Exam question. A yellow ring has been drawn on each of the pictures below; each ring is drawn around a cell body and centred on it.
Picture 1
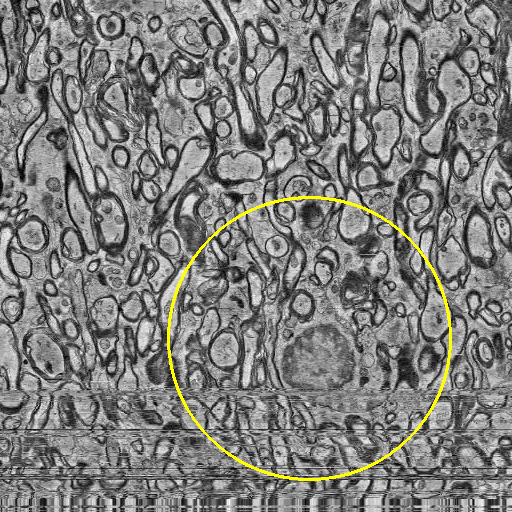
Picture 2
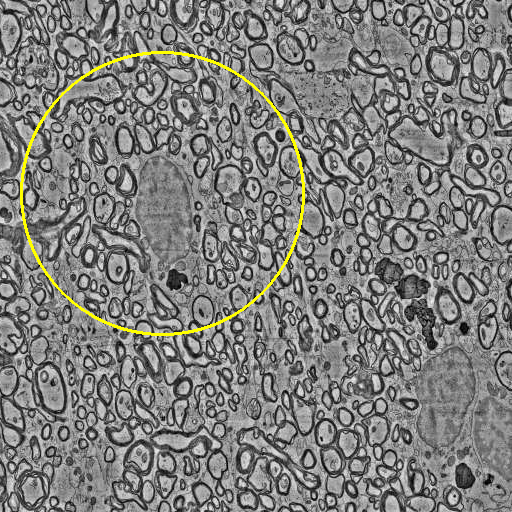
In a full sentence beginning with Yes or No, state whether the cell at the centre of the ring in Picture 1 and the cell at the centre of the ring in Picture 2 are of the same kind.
Yes, the two cells are of the same kind.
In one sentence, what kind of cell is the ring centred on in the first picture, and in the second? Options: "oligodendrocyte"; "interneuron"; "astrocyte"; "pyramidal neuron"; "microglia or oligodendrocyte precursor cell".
The cell in the first picture is an oligodendrocyte, and so is the one in the second.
